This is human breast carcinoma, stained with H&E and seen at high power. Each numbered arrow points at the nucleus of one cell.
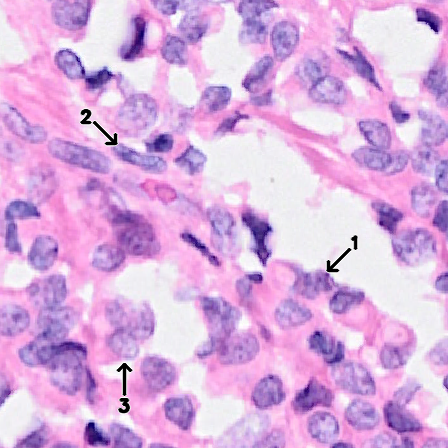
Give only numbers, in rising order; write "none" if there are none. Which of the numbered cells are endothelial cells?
2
